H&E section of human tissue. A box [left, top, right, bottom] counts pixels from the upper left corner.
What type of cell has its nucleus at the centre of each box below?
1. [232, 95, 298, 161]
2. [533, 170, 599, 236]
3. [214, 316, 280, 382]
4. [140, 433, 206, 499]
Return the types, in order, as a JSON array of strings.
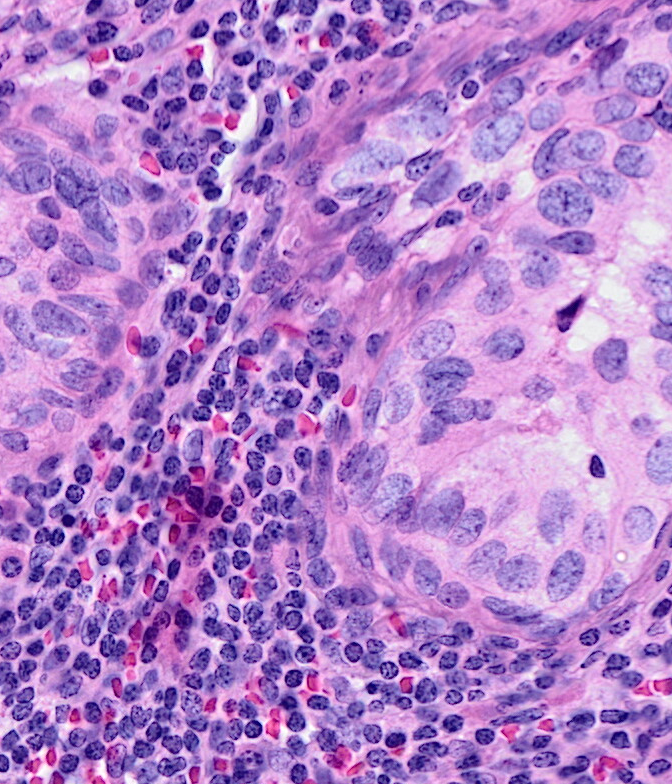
["lymphocyte", "carcinoma cell", "lymphocyte", "lymphocyte"]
